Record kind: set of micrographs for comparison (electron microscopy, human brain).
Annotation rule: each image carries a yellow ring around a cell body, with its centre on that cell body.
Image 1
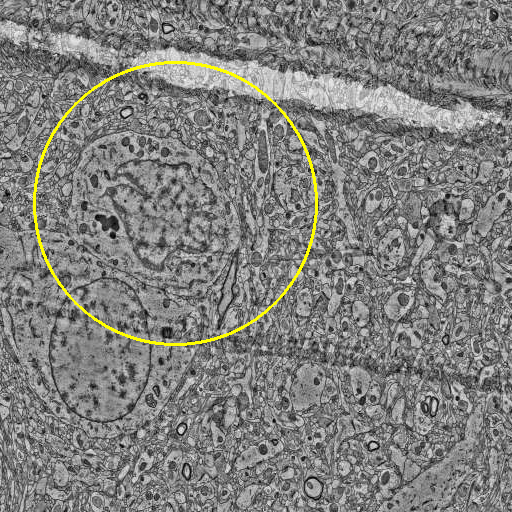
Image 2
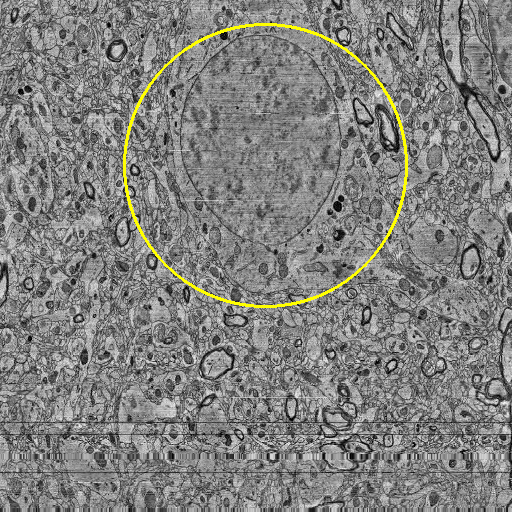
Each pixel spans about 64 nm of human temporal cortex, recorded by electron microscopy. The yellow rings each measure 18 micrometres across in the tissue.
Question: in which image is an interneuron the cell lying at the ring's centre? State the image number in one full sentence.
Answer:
In image 1, the ring is centred on the cell in question.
